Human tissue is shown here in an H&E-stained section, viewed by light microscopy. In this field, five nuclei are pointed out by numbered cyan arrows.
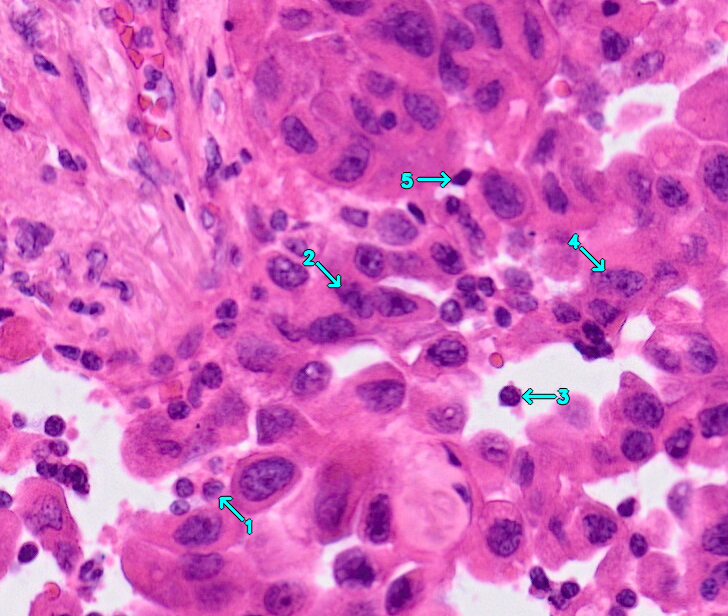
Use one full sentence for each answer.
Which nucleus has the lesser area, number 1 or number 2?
The smaller nucleus is 1, and 2 covers roughly 3 times its area.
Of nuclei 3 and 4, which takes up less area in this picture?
With nucleus 4 about 3 times its size, nucleus 3 is the smaller of the two.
